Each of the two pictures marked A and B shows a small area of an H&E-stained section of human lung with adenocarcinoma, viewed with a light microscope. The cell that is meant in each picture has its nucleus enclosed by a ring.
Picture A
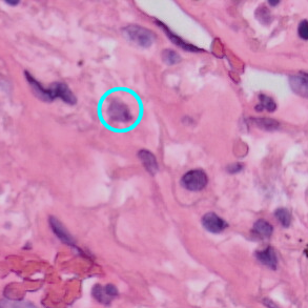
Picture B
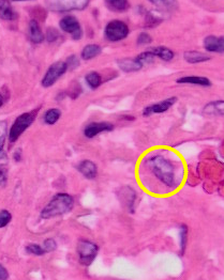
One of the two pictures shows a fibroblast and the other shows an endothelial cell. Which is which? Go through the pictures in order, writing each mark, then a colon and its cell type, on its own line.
A: fibroblast
B: endothelial cell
